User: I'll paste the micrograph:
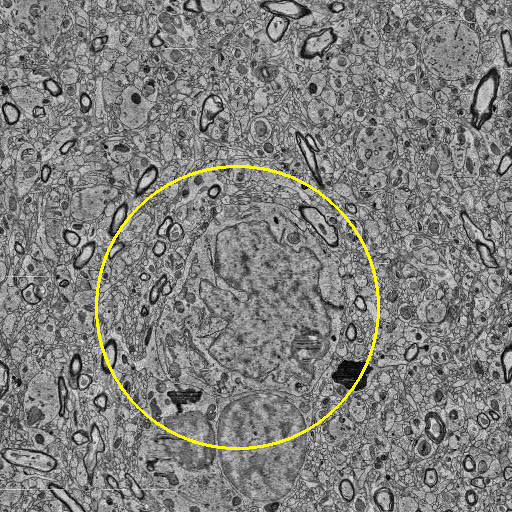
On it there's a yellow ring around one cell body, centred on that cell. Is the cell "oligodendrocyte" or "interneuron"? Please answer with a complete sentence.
The cell ringed in yellow is an interneuron.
